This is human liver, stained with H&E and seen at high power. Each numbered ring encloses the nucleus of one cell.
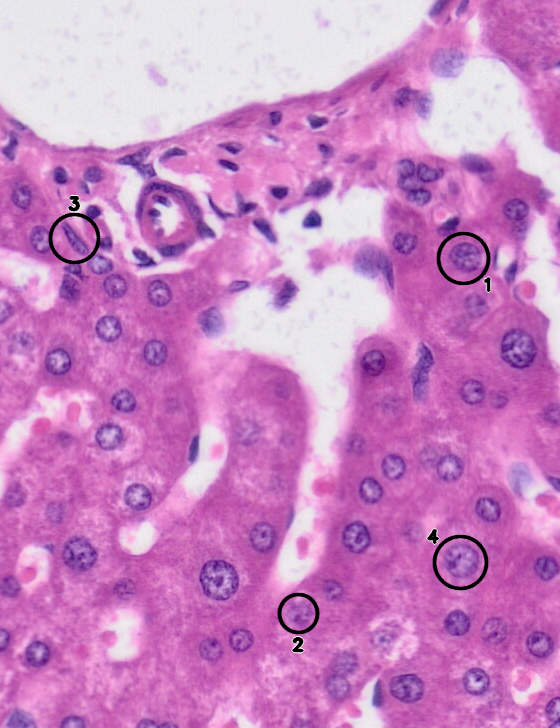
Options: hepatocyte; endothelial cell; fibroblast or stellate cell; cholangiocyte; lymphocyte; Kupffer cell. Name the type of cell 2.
hepatocyte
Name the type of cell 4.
hepatocyte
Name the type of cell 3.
cholangiocyte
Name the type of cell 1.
hepatocyte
